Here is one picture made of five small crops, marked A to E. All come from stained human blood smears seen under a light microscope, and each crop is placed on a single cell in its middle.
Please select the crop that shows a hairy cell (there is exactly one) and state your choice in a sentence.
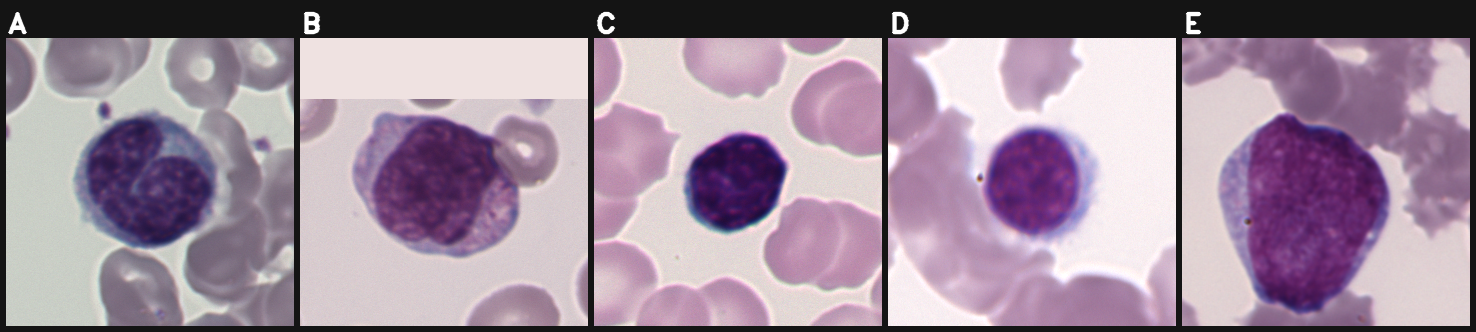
The crop with a hairy cell in it is crop D.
